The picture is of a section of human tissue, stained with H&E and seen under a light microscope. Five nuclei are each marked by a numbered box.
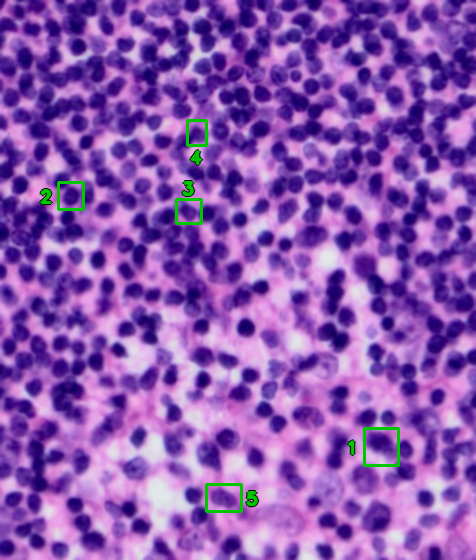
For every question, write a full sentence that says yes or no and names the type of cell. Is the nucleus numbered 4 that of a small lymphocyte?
Yes, what number 4 marks is a small lymphocyte.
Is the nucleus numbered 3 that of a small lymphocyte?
Yes, the number 3 belongs to a small lymphocyte.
